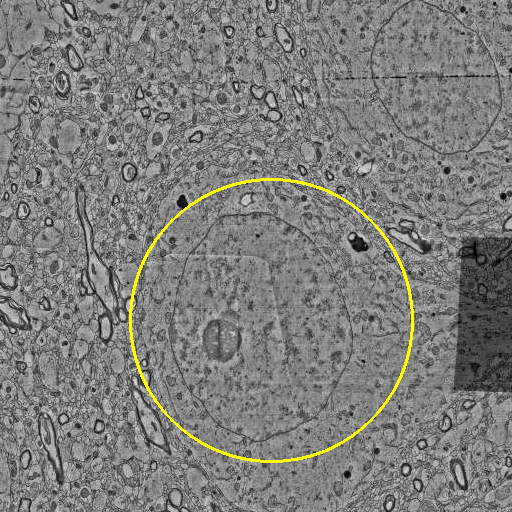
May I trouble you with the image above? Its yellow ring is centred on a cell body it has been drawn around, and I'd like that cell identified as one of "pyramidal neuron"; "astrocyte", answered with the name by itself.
pyramidal neuron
